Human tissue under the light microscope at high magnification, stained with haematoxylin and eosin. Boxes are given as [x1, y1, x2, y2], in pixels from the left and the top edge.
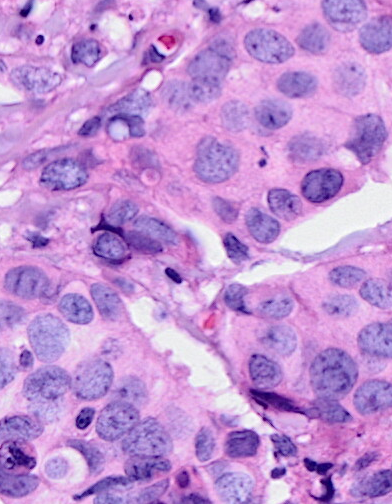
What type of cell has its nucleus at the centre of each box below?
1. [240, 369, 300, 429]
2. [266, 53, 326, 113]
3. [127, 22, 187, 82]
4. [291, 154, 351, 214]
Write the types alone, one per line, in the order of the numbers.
carcinoma cell
carcinoma cell
endothelial cell
carcinoma cell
